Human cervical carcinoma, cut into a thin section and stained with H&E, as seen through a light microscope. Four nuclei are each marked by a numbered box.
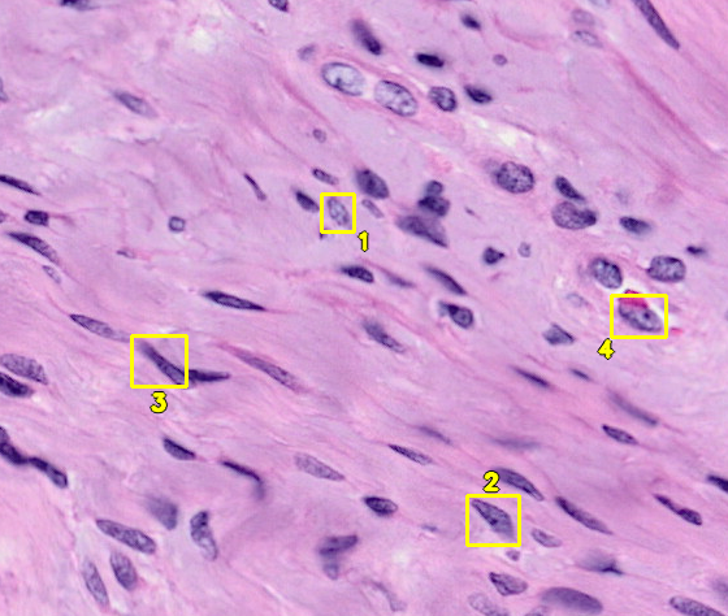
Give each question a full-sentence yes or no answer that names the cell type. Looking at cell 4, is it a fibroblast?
No, number 4 points to an endothelial cell and not to a fibroblast.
